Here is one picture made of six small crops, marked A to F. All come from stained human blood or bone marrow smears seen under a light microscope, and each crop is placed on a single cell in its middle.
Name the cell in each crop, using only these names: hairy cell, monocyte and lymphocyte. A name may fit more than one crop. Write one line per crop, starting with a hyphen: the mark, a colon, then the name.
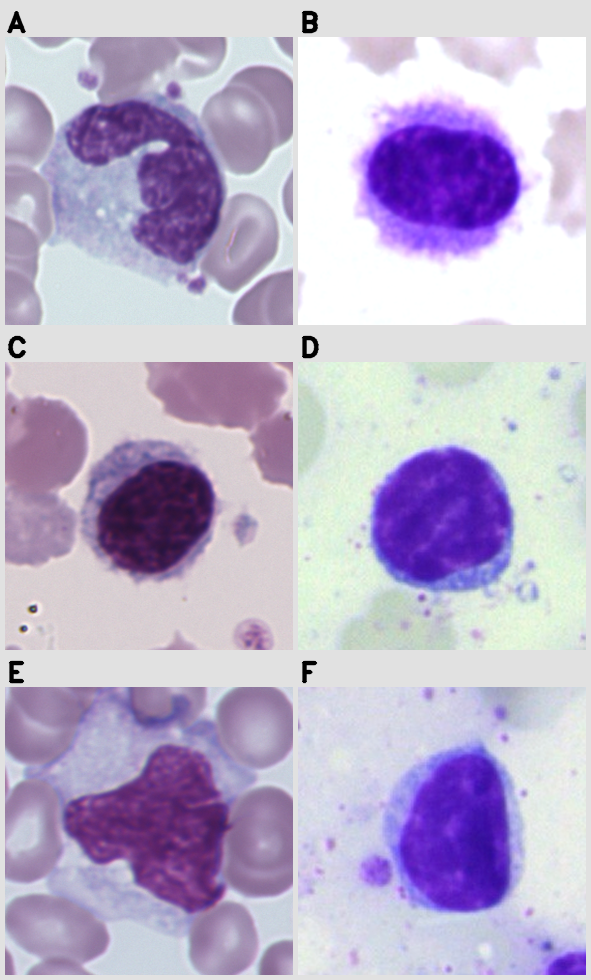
- A: monocyte
- B: hairy cell
- C: hairy cell
- D: lymphocyte
- E: monocyte
- F: lymphocyte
